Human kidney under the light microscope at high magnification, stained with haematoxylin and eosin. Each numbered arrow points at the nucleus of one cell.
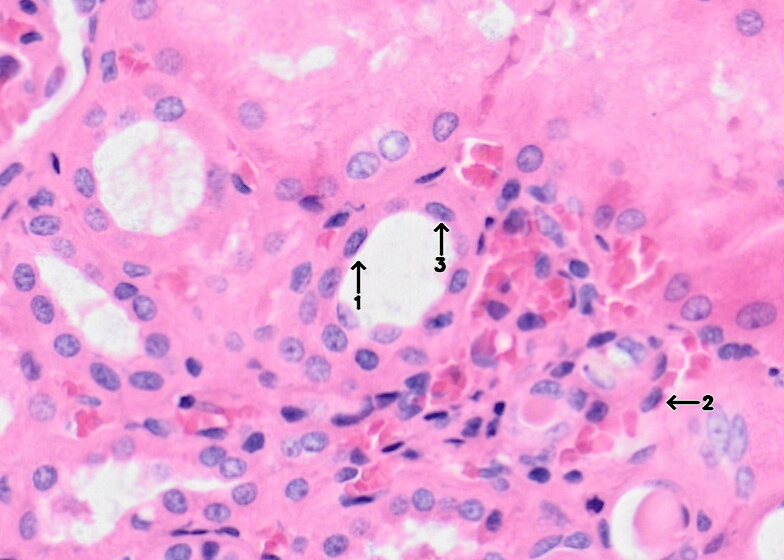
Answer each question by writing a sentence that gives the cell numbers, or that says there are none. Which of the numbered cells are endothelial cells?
Among the marked cells, an endothelial cell is found only at number 2.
